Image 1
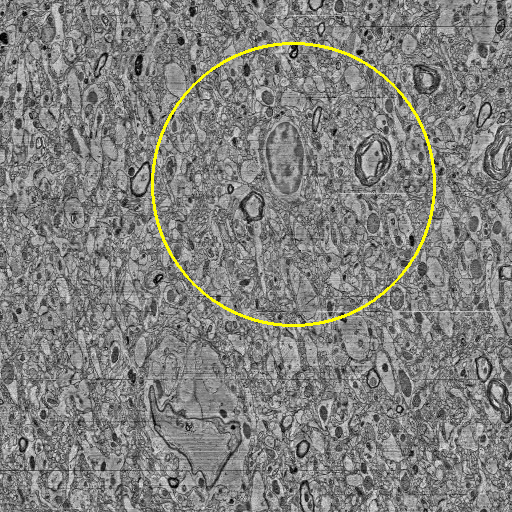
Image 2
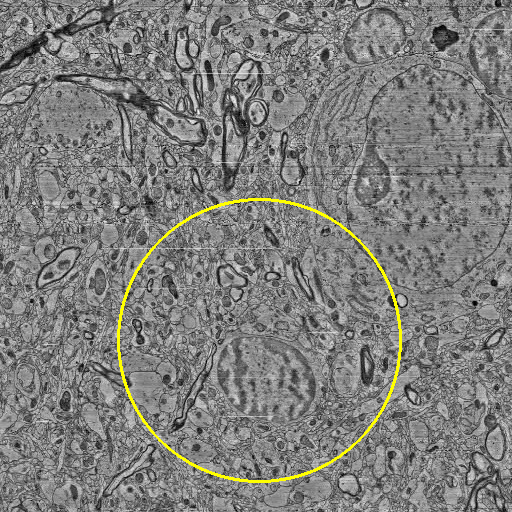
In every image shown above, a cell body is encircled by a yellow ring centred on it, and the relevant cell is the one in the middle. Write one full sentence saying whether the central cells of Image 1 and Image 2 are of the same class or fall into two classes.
The cell at the ring's centre in Image 1 and its counterpart in Image 2 fall into two classes.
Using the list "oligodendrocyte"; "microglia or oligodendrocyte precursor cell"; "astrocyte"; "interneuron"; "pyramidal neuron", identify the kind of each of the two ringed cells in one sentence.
The first is a microglial cell or oligodendrocyte precursor cell and the second is an oligodendrocyte.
